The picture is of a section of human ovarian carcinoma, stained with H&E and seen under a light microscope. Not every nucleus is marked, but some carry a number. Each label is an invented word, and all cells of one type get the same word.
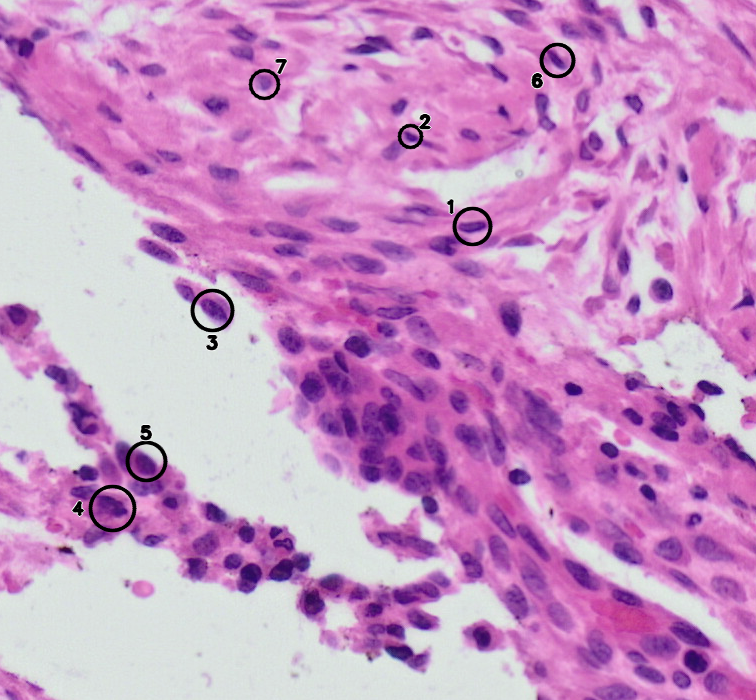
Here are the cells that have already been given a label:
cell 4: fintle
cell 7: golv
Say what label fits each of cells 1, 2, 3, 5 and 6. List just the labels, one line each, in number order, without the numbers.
golv
golv
fintle
fintle
golv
